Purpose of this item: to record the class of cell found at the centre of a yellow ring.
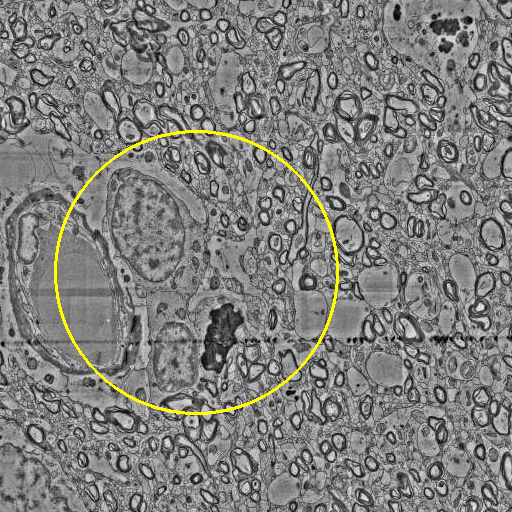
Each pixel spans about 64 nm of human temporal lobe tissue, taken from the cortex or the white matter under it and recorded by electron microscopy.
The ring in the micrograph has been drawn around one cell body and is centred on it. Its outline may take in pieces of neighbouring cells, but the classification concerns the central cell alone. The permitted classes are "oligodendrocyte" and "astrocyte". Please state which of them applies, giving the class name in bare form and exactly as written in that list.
oligodendrocyte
